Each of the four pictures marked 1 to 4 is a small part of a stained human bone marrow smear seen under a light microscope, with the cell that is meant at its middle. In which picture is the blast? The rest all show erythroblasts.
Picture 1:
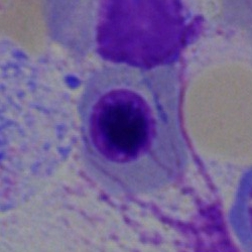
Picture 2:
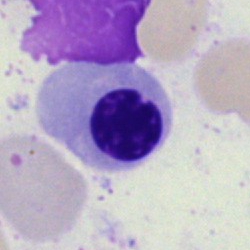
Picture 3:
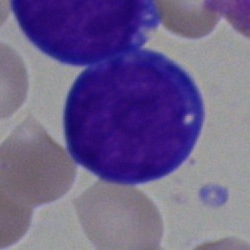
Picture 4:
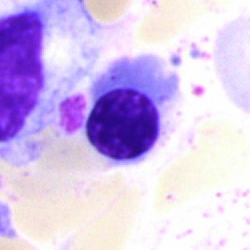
3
